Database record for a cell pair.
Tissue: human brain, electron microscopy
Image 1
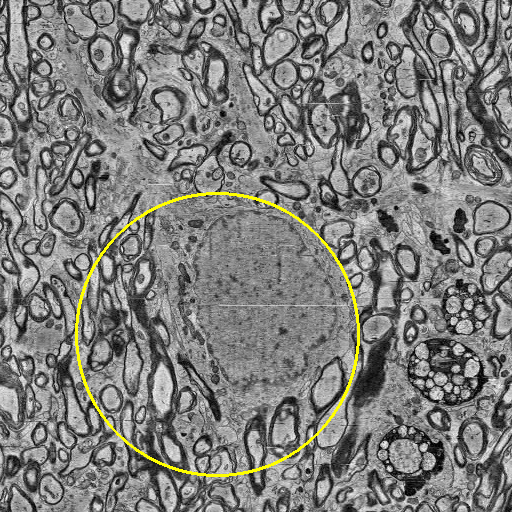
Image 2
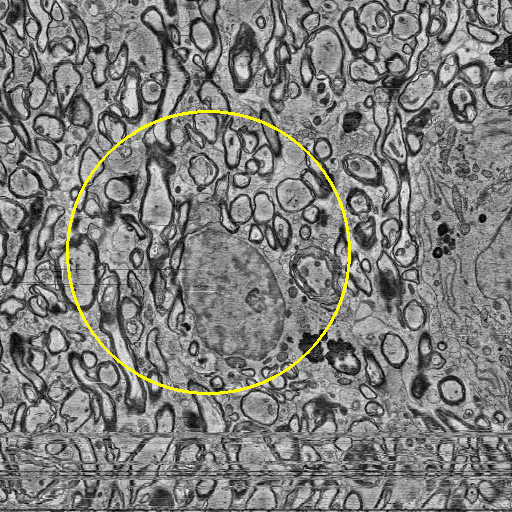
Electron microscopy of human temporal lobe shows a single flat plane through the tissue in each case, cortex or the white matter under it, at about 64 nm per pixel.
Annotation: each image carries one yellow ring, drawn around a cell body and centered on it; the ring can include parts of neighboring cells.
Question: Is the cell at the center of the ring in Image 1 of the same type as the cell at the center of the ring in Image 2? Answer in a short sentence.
No, the cells are of two types.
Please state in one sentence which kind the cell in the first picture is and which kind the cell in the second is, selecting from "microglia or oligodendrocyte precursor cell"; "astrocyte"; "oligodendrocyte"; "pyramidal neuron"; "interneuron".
The first ringed cell is an astrocyte, the second ringed cell an oligodendrocyte.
